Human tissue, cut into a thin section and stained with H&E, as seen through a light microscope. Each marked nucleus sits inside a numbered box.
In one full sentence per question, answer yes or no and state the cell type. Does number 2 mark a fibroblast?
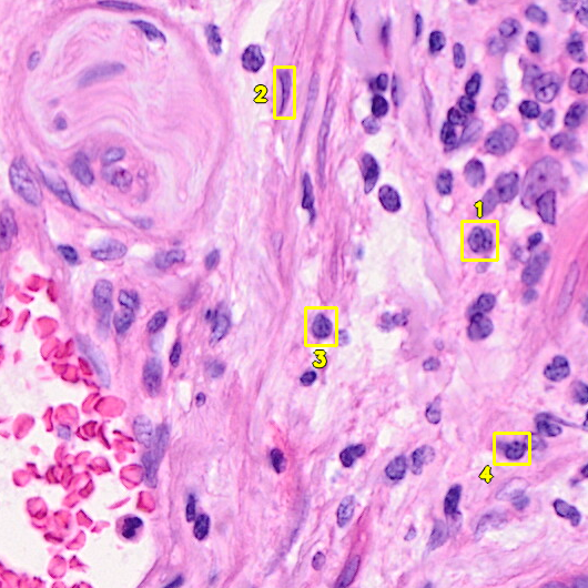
Yes, the cell that bears number 2 is a fibroblast.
